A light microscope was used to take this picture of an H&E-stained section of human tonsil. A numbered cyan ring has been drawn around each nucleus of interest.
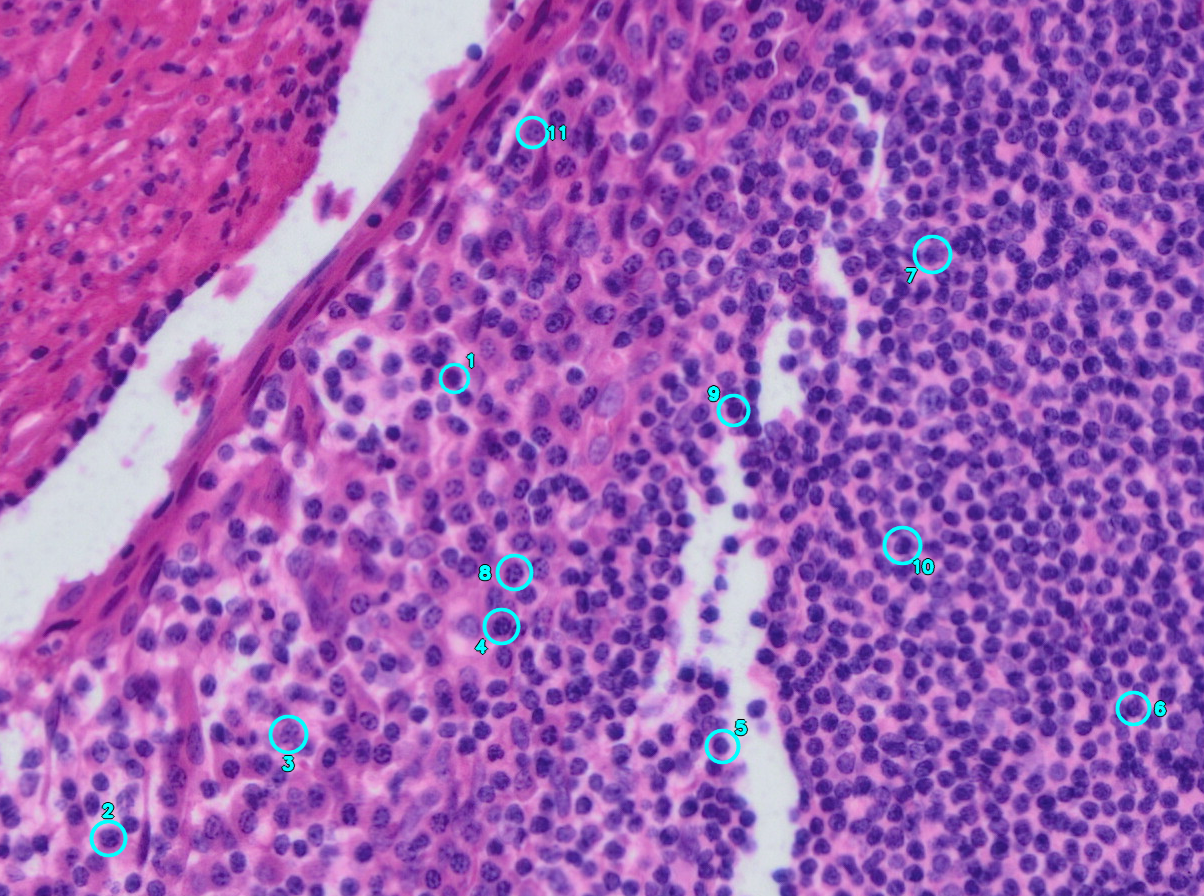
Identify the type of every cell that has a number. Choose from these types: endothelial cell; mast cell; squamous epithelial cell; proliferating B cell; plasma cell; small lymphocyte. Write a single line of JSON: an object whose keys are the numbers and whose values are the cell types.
{"1": "plasma cell", "2": "plasma cell", "3": "plasma cell", "4": "plasma cell", "5": "small lymphocyte", "6": "small lymphocyte", "7": "small lymphocyte", "8": "plasma cell", "9": "small lymphocyte", "10": "small lymphocyte", "11": "plasma cell"}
